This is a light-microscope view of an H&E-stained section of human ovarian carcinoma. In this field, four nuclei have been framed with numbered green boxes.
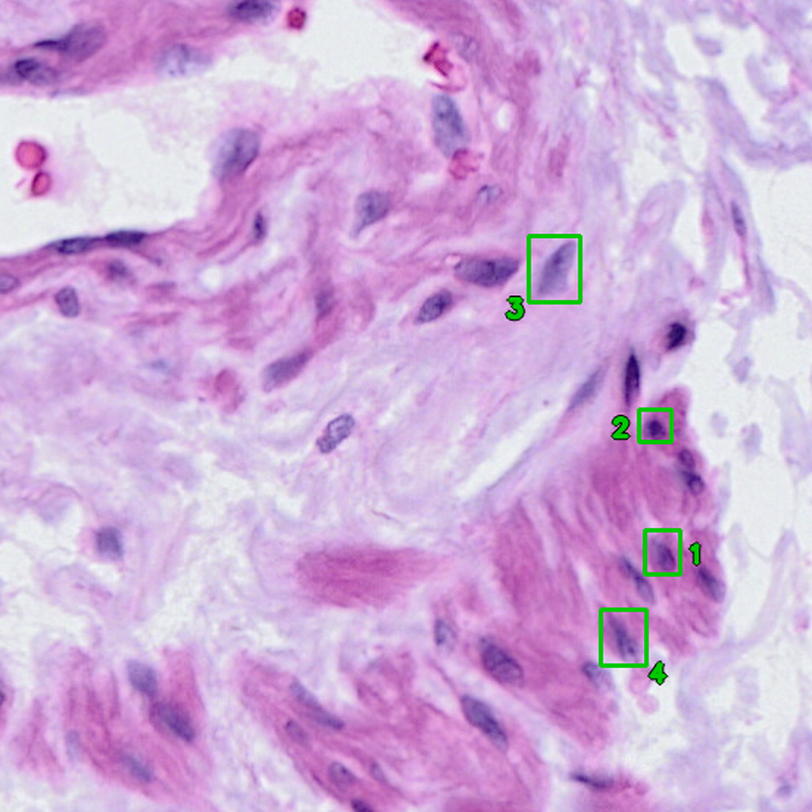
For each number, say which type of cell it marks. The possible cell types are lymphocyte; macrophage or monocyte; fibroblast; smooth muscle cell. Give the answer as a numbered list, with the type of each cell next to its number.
1. smooth muscle cell
2. smooth muscle cell
3. fibroblast
4. smooth muscle cell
